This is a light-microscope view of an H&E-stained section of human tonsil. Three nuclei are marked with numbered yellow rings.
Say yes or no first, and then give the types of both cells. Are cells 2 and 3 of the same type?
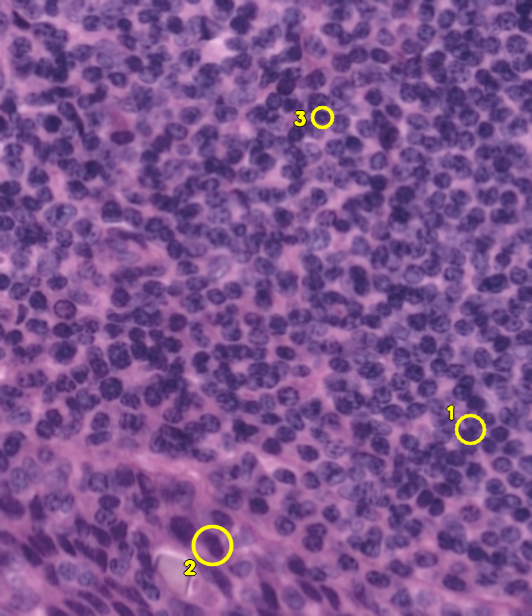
No, cell 2 is a squamous epithelial cell, while cell 3 is a small lymphocyte.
